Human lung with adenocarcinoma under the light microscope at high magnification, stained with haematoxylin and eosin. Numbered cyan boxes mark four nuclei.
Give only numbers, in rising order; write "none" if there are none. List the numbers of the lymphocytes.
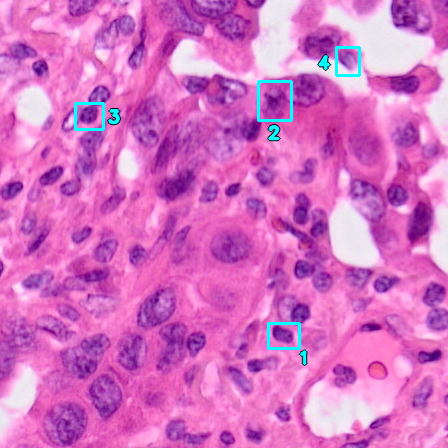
1, 3, 4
